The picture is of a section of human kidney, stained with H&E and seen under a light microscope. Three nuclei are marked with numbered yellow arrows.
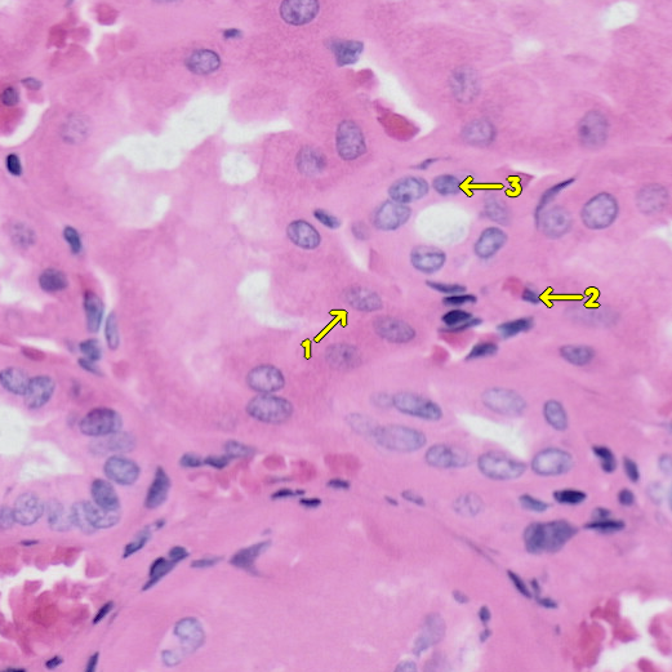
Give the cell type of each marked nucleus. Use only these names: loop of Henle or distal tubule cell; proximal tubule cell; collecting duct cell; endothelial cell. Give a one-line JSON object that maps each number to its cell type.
{"1": "proximal tubule cell", "2": "endothelial cell", "3": "collecting duct cell"}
